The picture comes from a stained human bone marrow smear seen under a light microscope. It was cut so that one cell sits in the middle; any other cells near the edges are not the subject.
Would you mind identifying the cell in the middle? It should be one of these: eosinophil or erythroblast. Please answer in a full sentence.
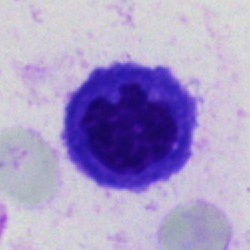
The middle of this crop is occupied by an erythroblast.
